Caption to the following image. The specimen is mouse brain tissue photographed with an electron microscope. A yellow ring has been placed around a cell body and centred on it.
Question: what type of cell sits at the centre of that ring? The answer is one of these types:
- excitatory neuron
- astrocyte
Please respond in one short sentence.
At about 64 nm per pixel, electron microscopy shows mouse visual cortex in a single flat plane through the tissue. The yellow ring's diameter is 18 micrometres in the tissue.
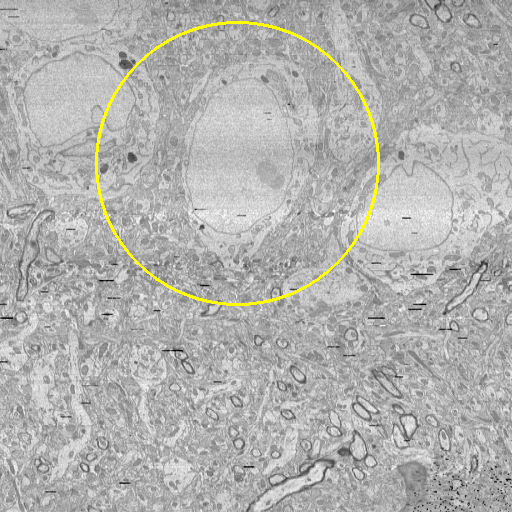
The ring surrounds the cell body of an excitatory neuron.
